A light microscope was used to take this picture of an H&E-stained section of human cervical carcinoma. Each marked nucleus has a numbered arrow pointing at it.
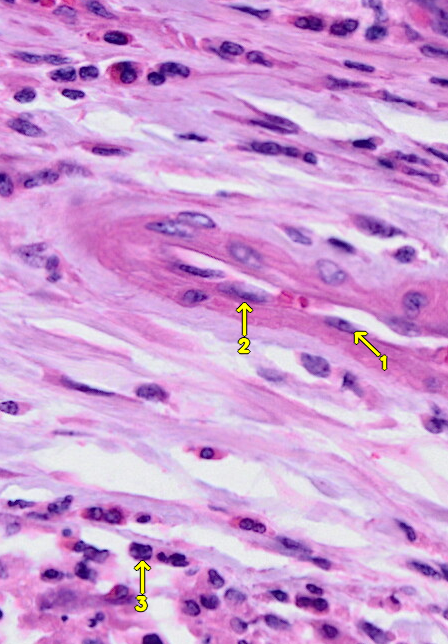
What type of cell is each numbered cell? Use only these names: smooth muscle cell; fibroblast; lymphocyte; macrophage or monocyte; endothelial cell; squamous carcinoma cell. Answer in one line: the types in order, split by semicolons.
endothelial cell; endothelial cell; lymphocyte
